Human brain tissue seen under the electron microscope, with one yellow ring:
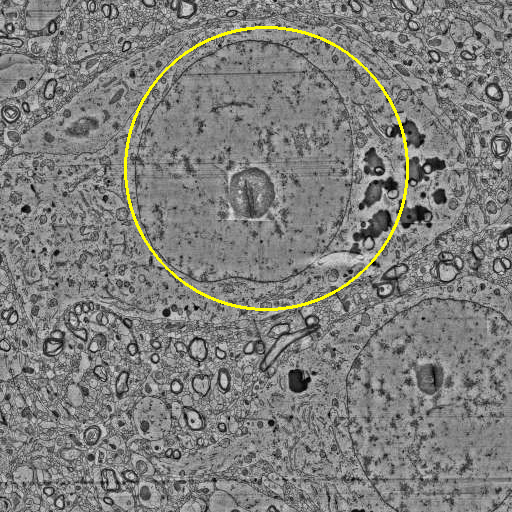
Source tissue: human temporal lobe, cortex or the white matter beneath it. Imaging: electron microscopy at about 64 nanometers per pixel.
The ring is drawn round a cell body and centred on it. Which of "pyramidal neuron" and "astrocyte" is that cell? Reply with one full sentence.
The picture shows a pyramidal neuron at the very centre of the yellow ring.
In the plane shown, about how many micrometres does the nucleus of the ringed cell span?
Roughly 16 micrometres by 14 micrometres, in this plane.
